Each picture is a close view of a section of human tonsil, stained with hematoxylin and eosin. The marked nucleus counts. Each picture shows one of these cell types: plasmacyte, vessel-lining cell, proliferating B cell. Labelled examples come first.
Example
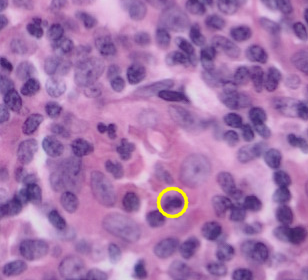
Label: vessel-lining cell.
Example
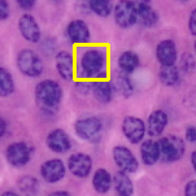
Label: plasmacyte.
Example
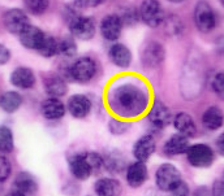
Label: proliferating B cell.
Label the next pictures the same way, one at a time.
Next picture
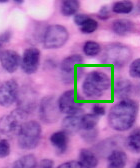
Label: proliferating B cell.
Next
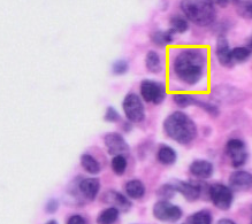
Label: proliferating B cell.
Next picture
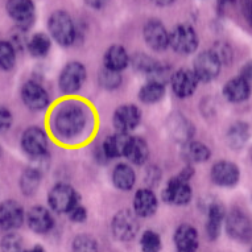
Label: plasmacyte.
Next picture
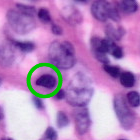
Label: vessel-lining cell.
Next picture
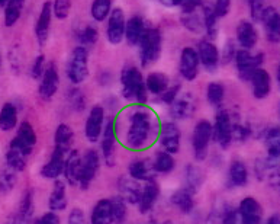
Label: plasmacyte.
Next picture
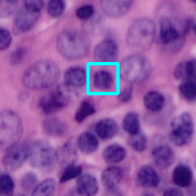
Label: vessel-lining cell.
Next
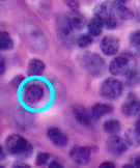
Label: vessel-lining cell.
